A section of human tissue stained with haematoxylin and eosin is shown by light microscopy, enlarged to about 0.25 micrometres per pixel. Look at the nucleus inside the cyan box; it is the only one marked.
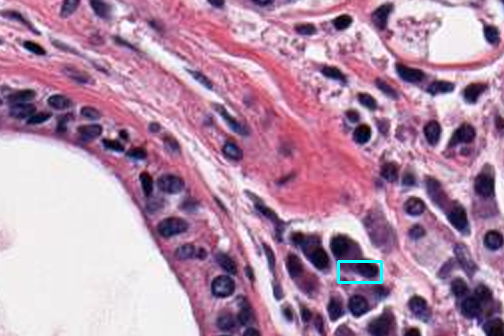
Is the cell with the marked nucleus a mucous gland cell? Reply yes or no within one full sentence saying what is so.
No, the marked nucleus belongs to a supporting cell, and a mucous gland cell is not its owner.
